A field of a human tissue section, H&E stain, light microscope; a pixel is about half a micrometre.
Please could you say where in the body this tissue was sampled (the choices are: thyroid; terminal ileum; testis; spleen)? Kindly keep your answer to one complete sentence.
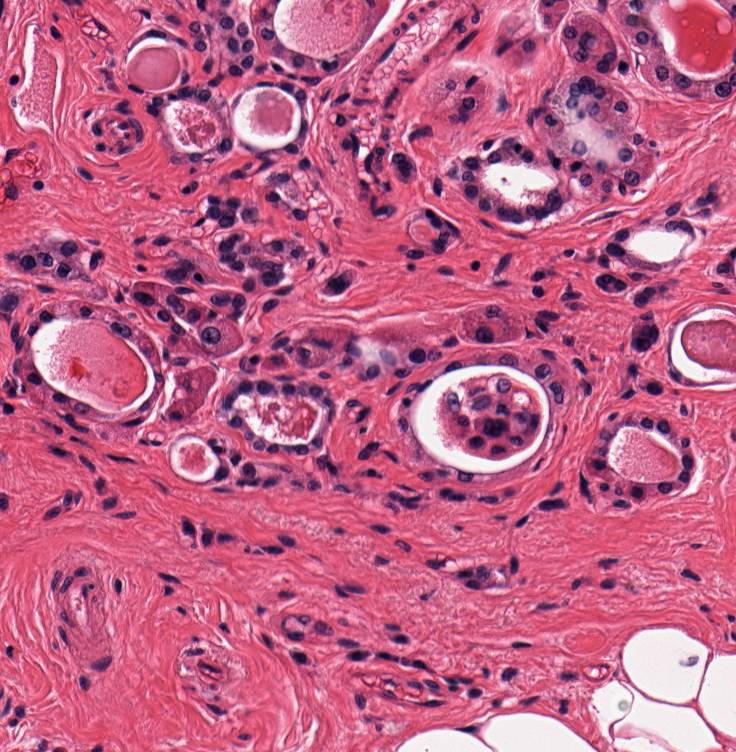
In this section is tissue sampled from the thyroid.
